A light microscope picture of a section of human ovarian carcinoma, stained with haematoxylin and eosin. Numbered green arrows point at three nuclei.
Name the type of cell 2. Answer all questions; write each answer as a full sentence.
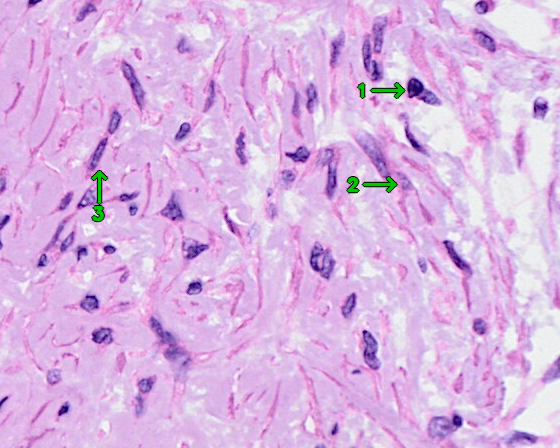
The cell pointed out as number 2 is a fibroblast.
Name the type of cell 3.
The cell bearing label 3 corresponds to a fibroblast.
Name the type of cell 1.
The one labeled 1 is a lymphocyte, to put it simply.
